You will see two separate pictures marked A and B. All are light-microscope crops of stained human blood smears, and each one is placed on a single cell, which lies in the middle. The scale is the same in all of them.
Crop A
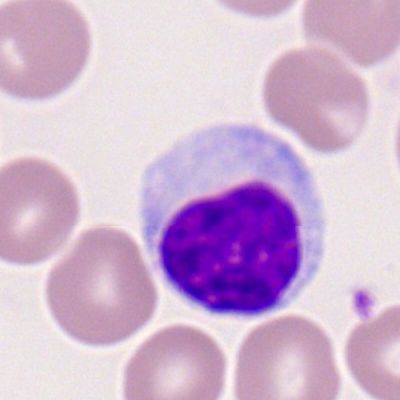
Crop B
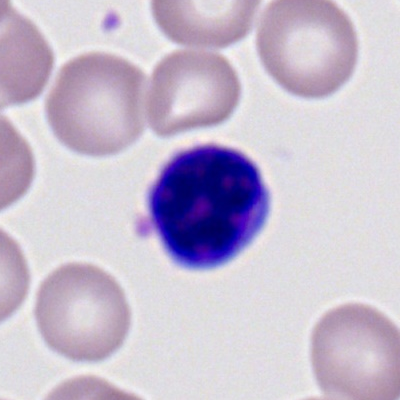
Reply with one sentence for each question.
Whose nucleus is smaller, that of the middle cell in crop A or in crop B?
Crop B shows the smaller nucleus, since that in crop A covers about 1.5 times as much area.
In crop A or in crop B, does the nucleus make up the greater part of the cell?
In crop B the nucleus takes up the larger part of its cell.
